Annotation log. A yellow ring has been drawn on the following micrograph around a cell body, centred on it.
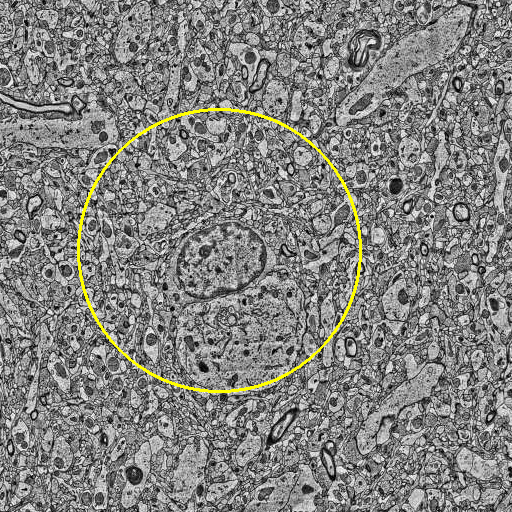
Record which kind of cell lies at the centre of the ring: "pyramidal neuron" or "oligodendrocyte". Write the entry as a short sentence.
The cell the ring is centred on is an oligodendrocyte.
